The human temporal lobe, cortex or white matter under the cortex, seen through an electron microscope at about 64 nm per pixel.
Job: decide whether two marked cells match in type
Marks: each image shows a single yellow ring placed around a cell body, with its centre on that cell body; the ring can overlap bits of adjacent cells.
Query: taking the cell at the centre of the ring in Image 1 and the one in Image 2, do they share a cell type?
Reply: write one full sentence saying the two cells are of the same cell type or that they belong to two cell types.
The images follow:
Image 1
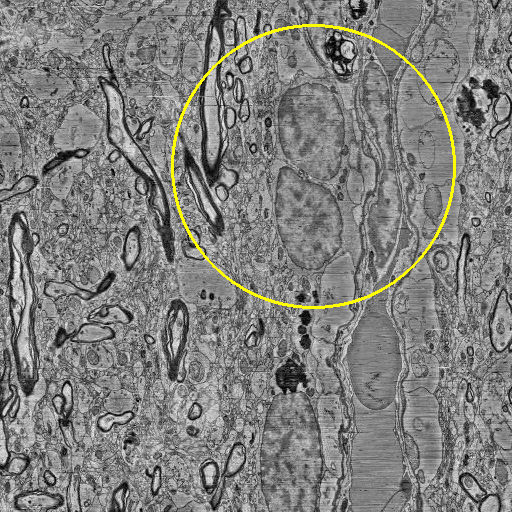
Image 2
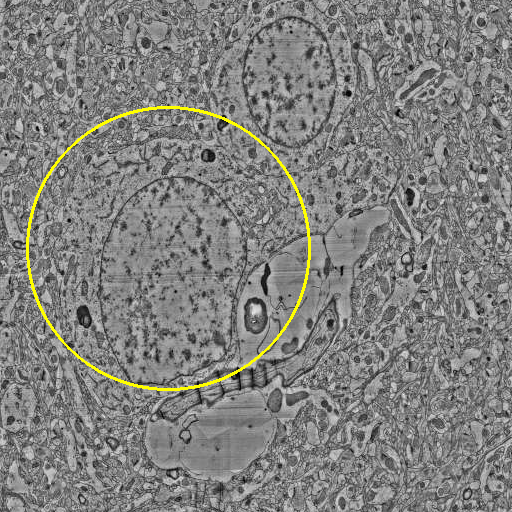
The cells at the ring centres in Image 1 and Image 2 belong to two cell types.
